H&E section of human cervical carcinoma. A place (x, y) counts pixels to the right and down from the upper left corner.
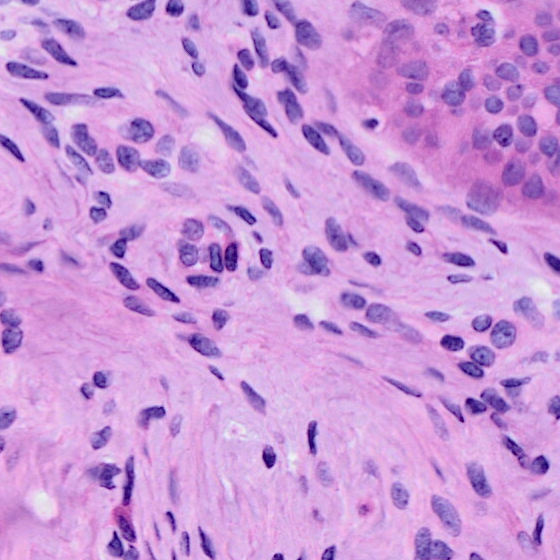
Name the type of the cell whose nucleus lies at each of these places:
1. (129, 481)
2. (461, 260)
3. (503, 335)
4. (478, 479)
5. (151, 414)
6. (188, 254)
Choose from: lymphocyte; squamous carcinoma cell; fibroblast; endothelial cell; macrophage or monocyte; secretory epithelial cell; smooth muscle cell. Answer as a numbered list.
1. fibroblast
2. fibroblast
3. endothelial cell
4. fibroblast
5. fibroblast
6. endothelial cell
